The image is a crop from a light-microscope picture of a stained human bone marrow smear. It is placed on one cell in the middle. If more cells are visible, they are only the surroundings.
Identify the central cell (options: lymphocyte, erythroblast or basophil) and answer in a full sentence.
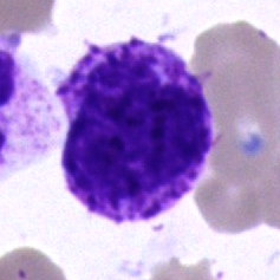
As for the central cell, it is a basophil.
